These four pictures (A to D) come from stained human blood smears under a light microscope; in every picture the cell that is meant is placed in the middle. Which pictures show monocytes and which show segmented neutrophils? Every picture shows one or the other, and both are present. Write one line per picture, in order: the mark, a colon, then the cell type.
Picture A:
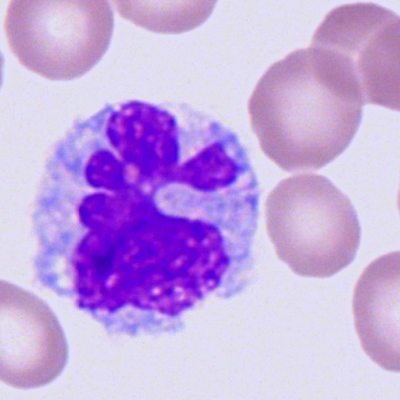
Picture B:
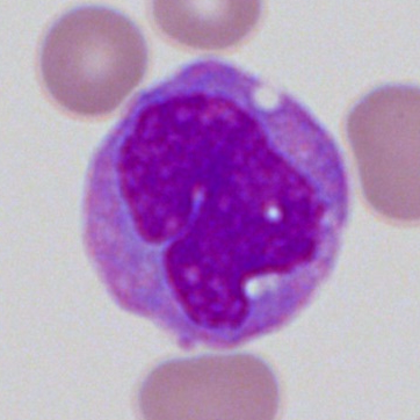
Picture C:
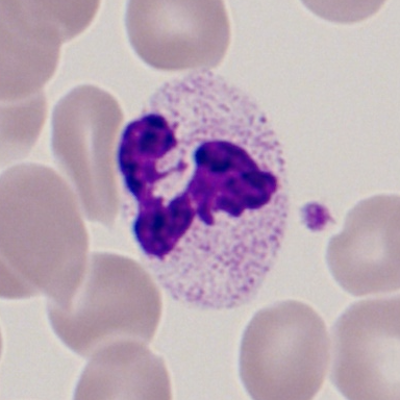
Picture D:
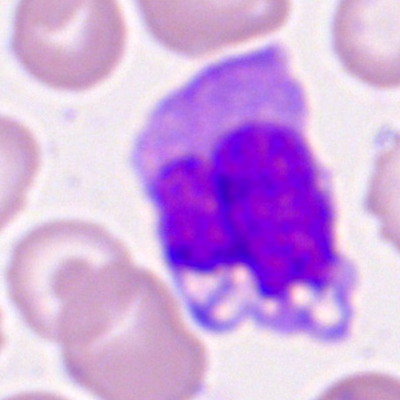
A: monocyte
B: monocyte
C: segmented neutrophil
D: monocyte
